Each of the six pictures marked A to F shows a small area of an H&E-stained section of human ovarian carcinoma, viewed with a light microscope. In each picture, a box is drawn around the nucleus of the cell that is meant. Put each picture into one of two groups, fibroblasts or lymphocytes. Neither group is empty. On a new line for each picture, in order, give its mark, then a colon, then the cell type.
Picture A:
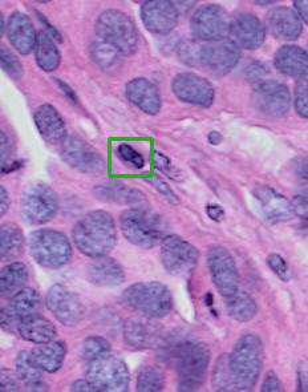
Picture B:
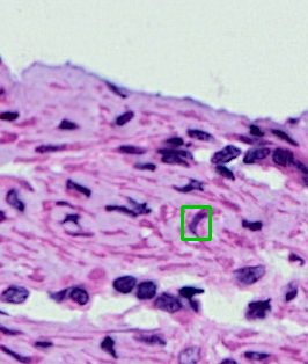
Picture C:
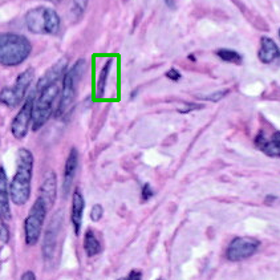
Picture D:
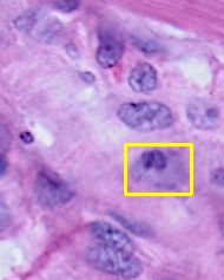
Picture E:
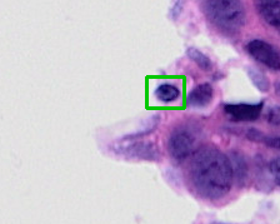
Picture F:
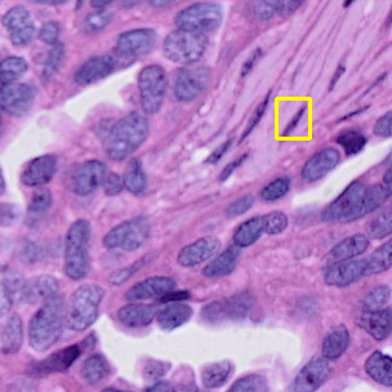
A: lymphocyte
B: fibroblast
C: fibroblast
D: fibroblast
E: lymphocyte
F: fibroblast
